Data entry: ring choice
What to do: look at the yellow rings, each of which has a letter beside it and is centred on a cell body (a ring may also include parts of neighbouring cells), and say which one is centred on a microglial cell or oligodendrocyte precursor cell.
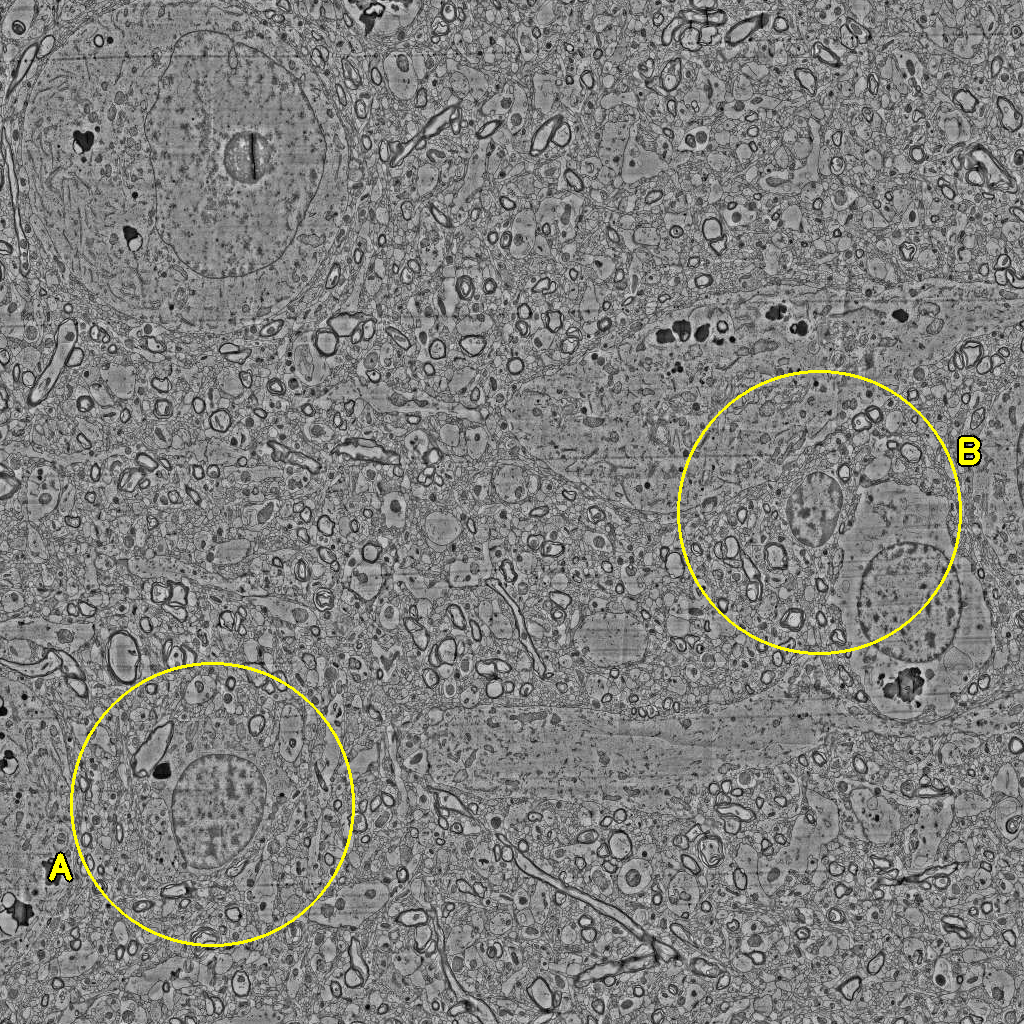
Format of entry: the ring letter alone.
B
